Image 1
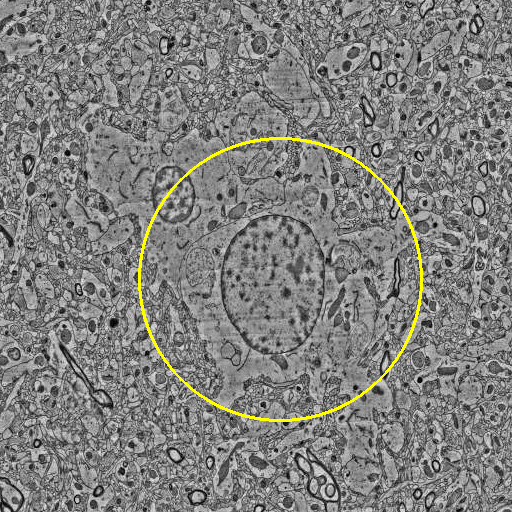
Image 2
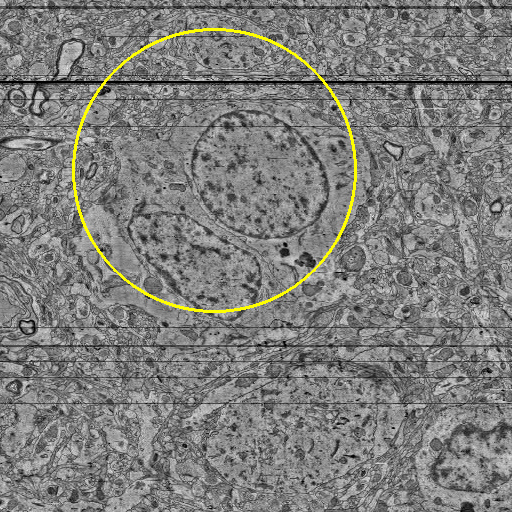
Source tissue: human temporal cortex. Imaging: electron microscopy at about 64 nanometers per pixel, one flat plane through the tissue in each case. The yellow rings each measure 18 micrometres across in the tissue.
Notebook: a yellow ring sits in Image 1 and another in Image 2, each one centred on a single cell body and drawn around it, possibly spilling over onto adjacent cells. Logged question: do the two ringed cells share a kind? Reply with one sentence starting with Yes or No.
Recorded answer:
Yes, both centre cells inside the rings of Image 1 and Image 2 share one kind.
